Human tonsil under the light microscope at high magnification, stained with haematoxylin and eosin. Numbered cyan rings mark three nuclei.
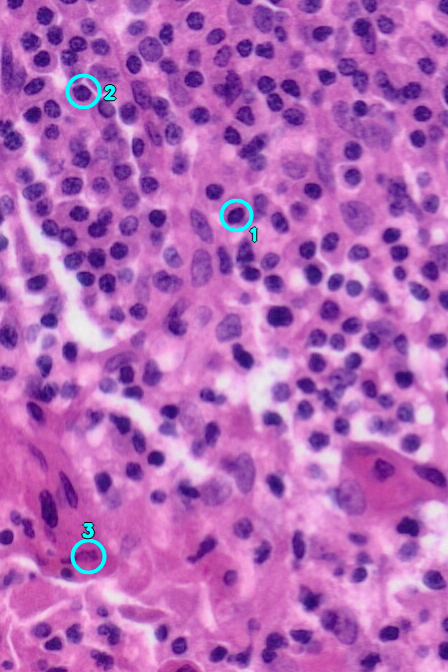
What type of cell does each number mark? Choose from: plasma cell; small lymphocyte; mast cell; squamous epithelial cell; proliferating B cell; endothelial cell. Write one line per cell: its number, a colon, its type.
1: plasma cell
2: plasma cell
3: squamous epithelial cell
